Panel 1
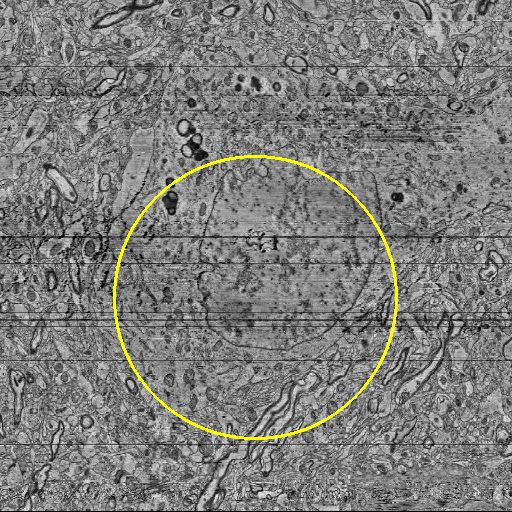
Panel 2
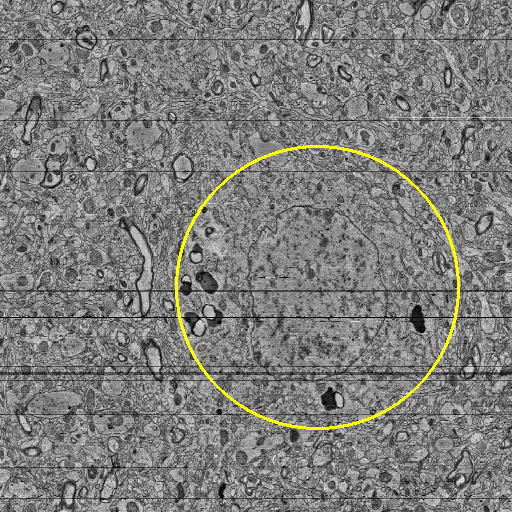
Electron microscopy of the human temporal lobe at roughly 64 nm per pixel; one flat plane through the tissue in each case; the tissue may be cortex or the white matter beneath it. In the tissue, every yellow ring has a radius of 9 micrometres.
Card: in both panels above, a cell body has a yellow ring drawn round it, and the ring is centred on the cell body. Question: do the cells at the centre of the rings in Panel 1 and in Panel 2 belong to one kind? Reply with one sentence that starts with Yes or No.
Yes, the cells centred in the rings of Panel 1 and Panel 2 are one kind of cell.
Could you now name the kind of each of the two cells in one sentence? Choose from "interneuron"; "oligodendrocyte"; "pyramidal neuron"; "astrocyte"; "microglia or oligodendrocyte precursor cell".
In both pictures the ring is centred on a pyramidal neuron.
